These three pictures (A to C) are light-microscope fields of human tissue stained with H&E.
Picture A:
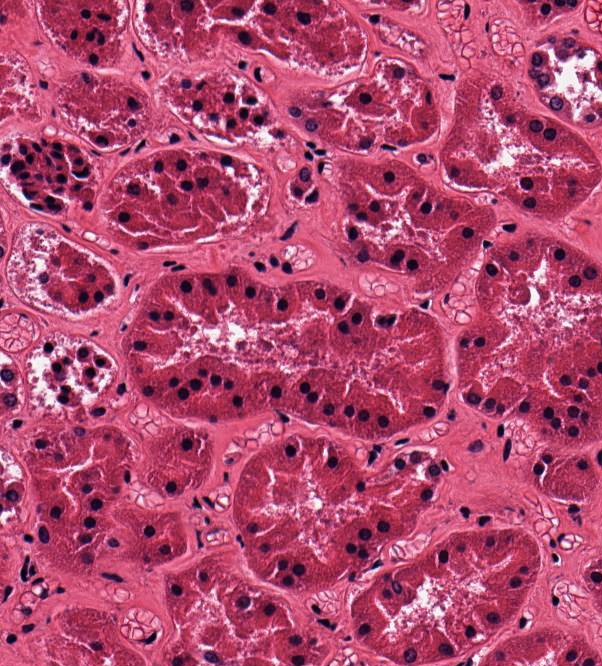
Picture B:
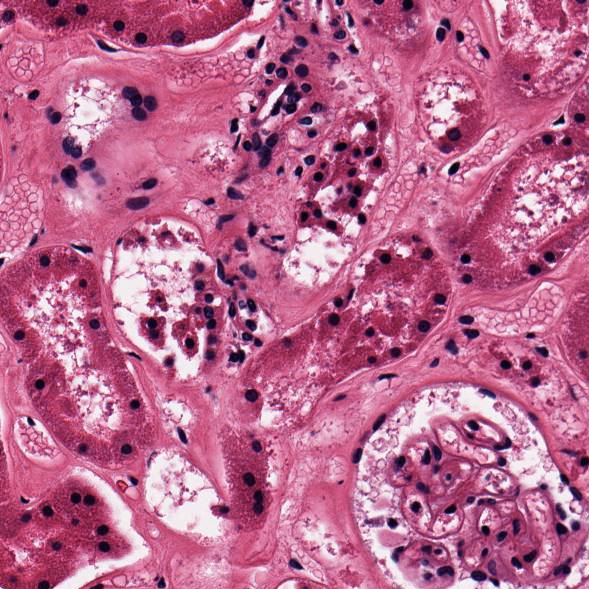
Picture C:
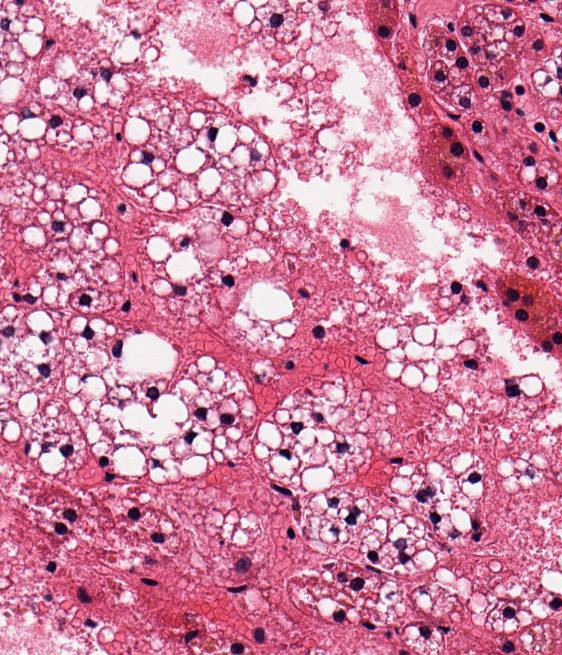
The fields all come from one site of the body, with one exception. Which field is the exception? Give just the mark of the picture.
C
